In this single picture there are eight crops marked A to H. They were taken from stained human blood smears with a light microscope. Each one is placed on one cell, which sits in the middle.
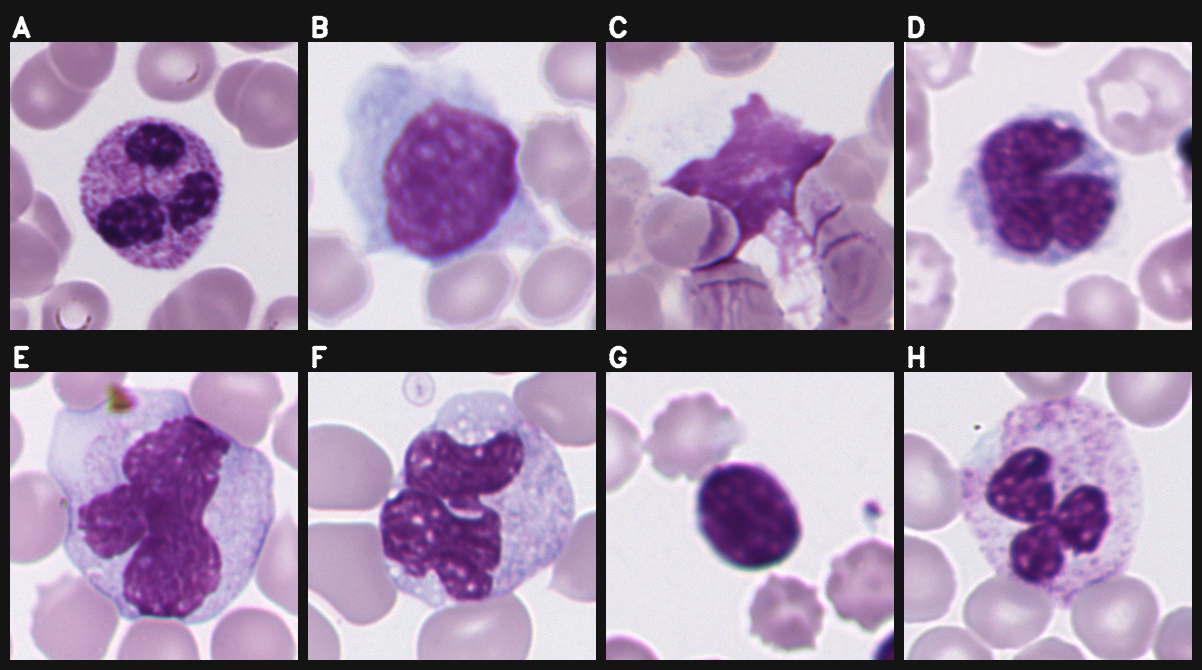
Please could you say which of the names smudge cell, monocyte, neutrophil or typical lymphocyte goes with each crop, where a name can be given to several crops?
A: neutrophil
B: monocyte
C: smudge cell
D: monocyte
E: monocyte
F: monocyte
G: typical lymphocyte
H: neutrophil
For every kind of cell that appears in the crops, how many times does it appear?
monocyte: 4
neutrophil: 2
smudge cell: 1
typical lymphocyte: 1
